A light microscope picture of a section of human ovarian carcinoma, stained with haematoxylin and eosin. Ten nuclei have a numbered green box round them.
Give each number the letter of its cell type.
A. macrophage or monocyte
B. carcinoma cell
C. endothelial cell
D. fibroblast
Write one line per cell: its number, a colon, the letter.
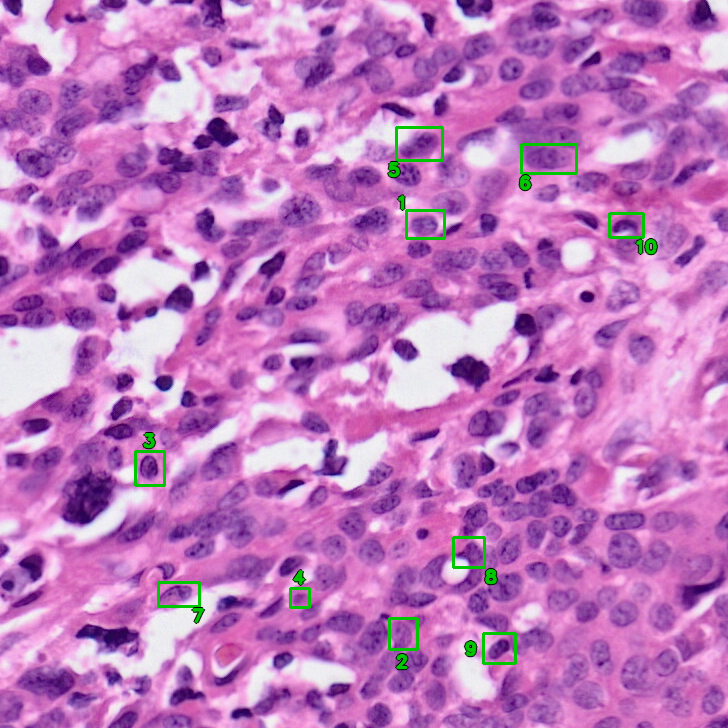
1: A
2: B
3: A
4: A
5: B
6: B
7: A
8: B
9: B
10: C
